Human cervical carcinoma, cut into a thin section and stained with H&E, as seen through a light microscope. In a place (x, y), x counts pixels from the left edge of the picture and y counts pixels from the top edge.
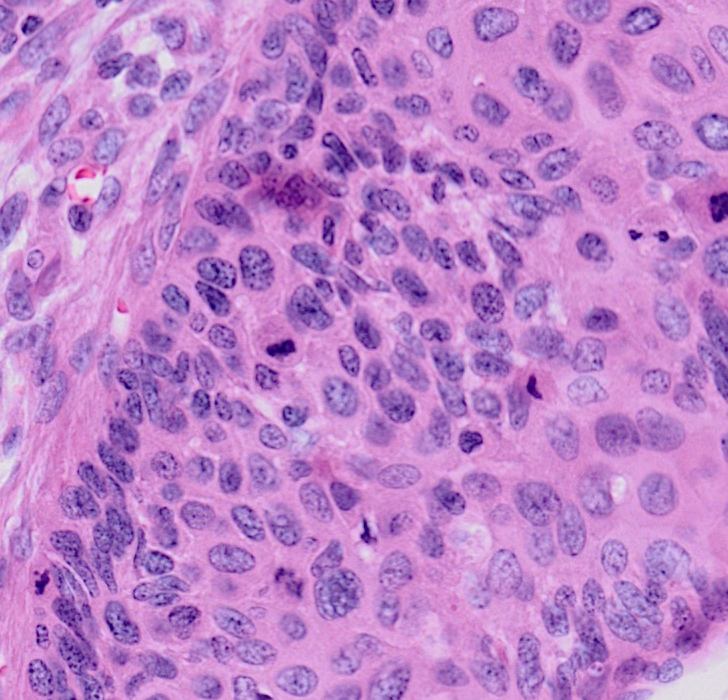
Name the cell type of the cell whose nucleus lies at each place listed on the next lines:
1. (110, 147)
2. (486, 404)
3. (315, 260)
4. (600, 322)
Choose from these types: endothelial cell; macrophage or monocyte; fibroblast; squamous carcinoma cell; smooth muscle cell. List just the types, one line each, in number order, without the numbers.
endothelial cell
squamous carcinoma cell
squamous carcinoma cell
squamous carcinoma cell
